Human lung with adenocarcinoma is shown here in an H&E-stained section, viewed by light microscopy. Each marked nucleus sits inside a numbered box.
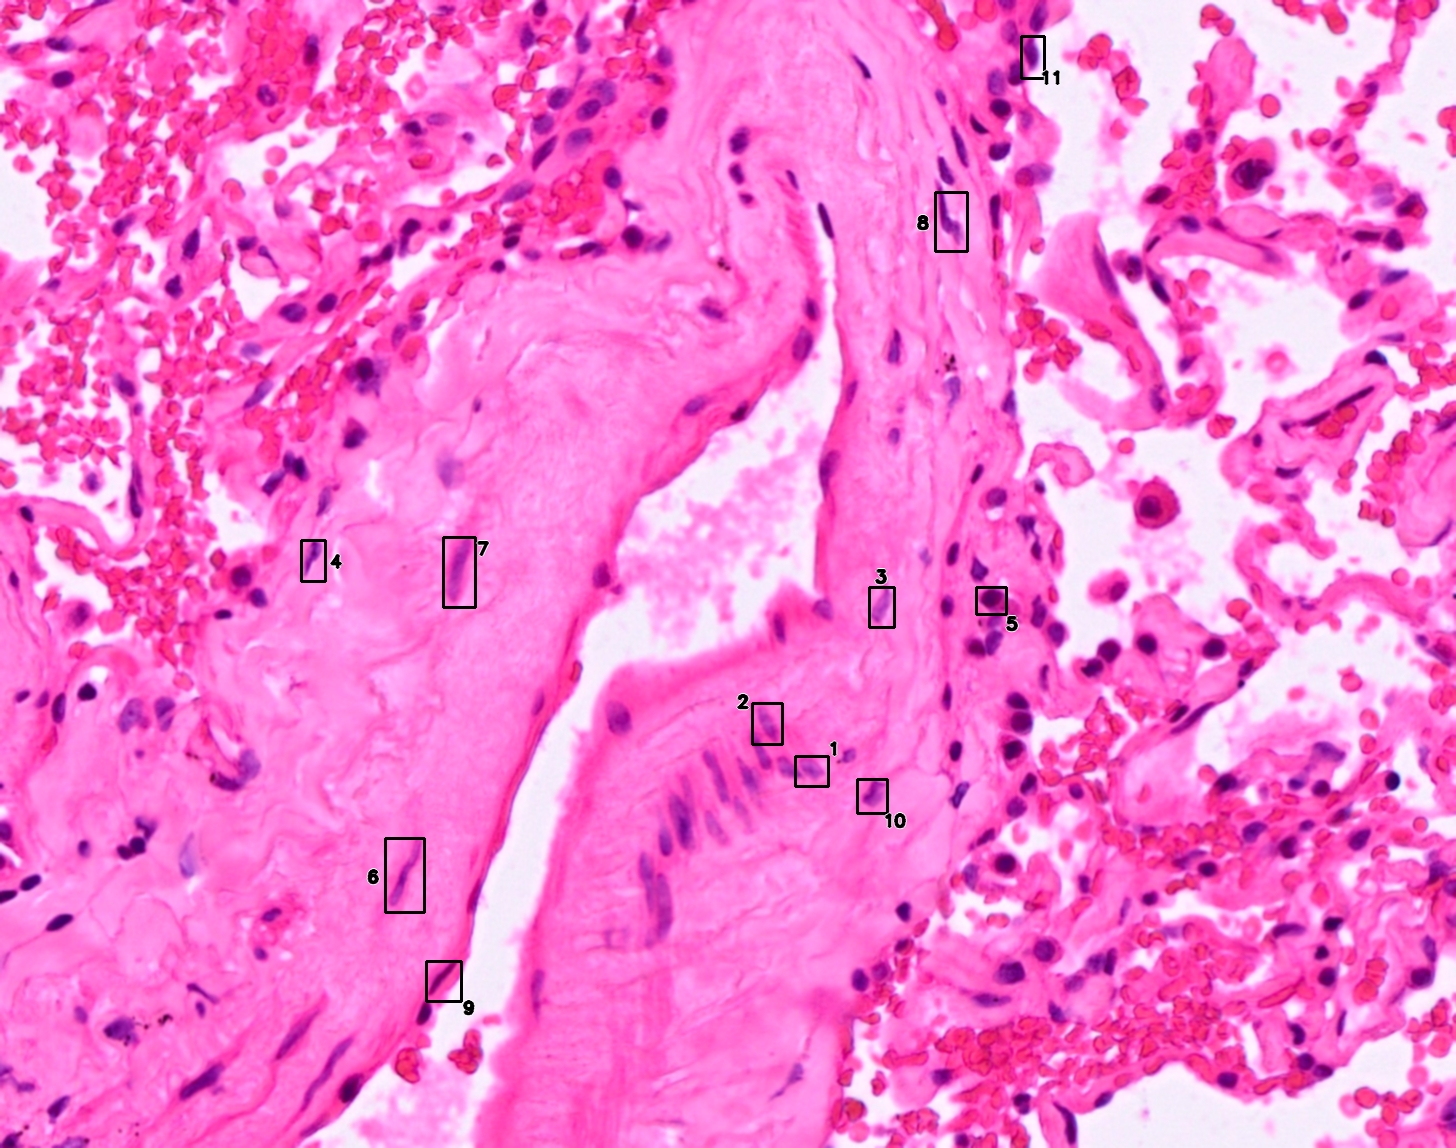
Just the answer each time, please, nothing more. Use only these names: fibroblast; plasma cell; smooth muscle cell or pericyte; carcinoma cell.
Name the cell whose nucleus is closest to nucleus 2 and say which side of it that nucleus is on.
a smooth muscle cell or pericyte; below nucleus 2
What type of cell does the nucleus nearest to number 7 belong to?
fibroblast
